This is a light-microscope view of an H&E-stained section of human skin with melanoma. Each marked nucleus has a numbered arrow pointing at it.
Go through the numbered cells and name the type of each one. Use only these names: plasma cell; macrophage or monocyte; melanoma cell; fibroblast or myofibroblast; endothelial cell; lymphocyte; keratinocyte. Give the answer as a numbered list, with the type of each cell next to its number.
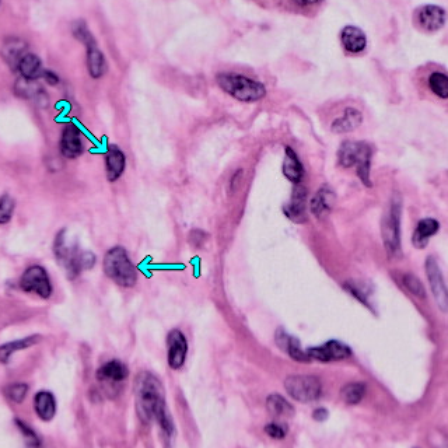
1. macrophage or monocyte
2. lymphocyte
